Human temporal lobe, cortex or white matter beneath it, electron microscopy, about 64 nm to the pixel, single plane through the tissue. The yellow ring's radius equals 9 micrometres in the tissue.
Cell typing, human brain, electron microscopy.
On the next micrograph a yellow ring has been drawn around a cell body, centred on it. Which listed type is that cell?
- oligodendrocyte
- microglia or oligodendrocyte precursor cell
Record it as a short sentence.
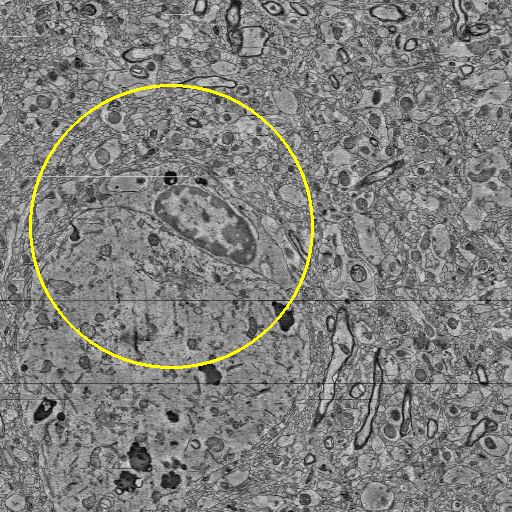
The cell body in the ring's centre belongs to a microglial cell or oligodendrocyte precursor cell.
